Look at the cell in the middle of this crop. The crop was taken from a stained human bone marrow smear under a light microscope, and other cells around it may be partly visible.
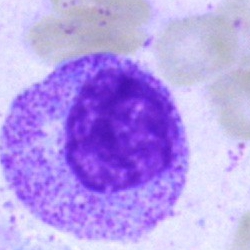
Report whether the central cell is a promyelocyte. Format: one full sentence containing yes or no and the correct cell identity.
No, the central cell should be identified as a myelocyte, not as a promyelocyte.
